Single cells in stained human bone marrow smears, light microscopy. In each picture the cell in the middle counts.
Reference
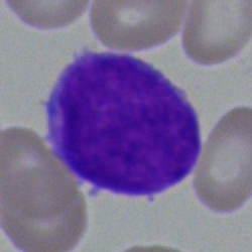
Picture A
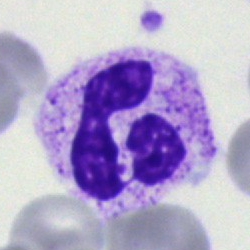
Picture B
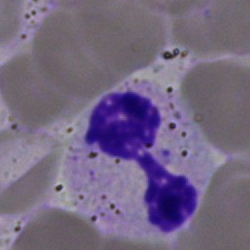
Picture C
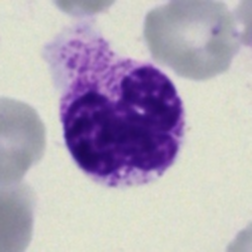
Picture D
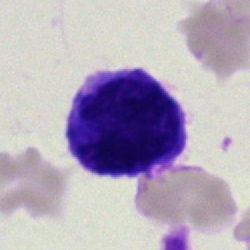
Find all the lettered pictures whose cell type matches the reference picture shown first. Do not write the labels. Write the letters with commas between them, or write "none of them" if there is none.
D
